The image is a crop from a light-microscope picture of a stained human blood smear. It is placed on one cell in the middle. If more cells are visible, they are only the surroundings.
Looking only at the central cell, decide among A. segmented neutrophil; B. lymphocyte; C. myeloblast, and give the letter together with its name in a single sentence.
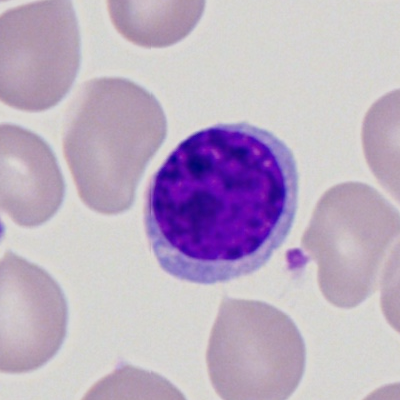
Option B is accurate; the centrally placed cell is a lymphocyte.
